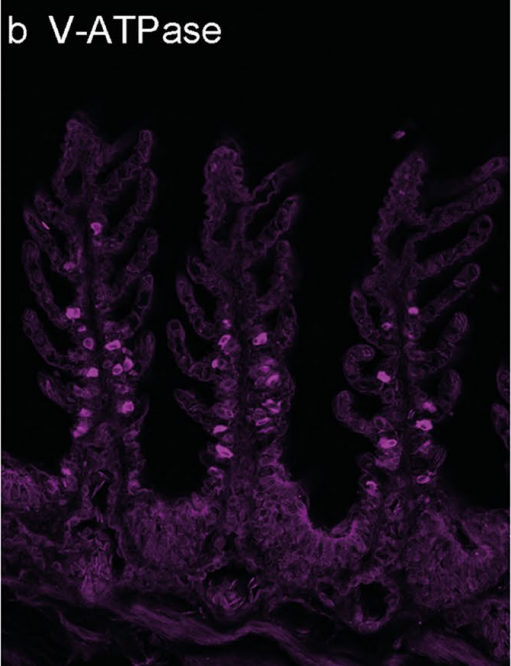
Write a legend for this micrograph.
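The same comb-like gill projections with side branches show only faint magenta outlines of their epithelium, while scattered rounded cells along the projections stand out bright magenta. The base of the projections is only faintly and diffusely stained, without bright clusters. The bright cells are single ionocytes of the gill filaments.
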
